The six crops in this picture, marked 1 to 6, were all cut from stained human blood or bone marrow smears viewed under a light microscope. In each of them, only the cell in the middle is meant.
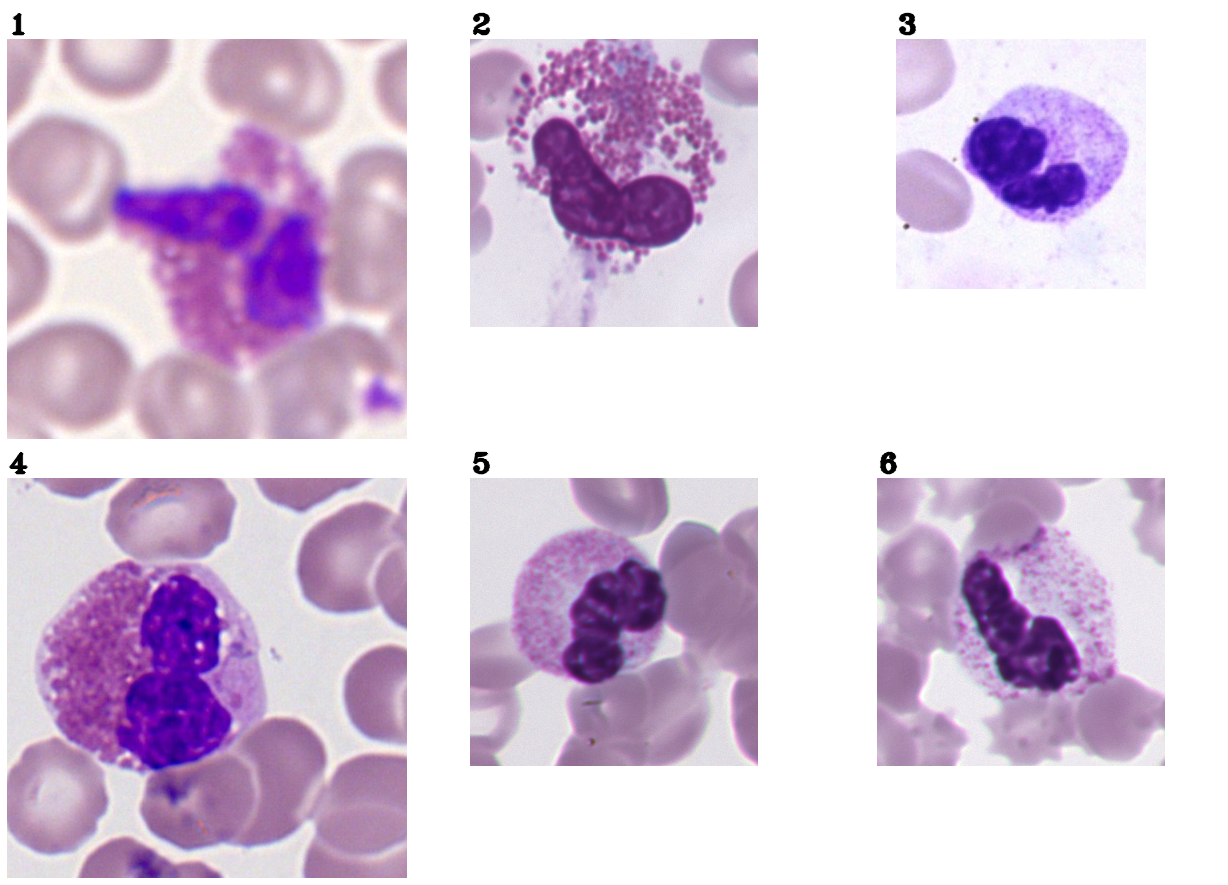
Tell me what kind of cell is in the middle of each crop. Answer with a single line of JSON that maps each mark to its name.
{"1": "eosinophil", "2": "eosinophil", "3": "segmented neutrophil", "4": "eosinophil", "5": "segmented neutrophil", "6": "segmented neutrophil"}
